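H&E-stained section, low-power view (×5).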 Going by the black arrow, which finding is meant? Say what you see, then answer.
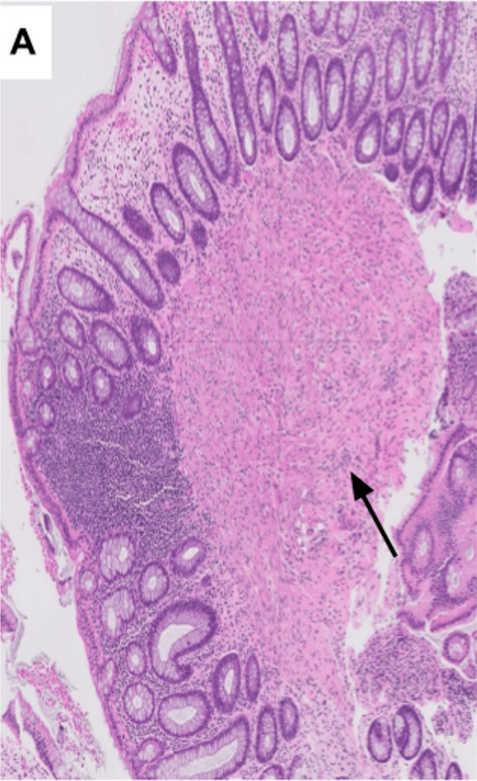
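A pale pink, cellular nodule sits among the glandular crypts and bulges the mucosal surface. No fibrous capsule separates the nodule from the surrounding tissue.
Non-encapsulated polypoid lesion.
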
